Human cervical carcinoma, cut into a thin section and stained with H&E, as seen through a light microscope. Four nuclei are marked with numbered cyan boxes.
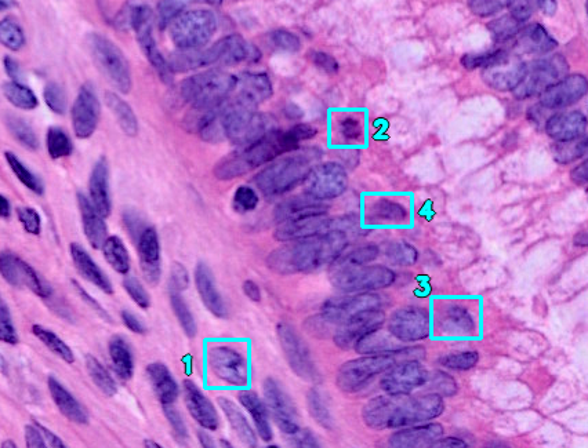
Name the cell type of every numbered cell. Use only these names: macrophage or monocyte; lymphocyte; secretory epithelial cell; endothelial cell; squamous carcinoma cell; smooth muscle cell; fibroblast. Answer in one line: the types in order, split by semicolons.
endothelial cell; secretory epithelial cell; secretory epithelial cell; secretory epithelial cell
